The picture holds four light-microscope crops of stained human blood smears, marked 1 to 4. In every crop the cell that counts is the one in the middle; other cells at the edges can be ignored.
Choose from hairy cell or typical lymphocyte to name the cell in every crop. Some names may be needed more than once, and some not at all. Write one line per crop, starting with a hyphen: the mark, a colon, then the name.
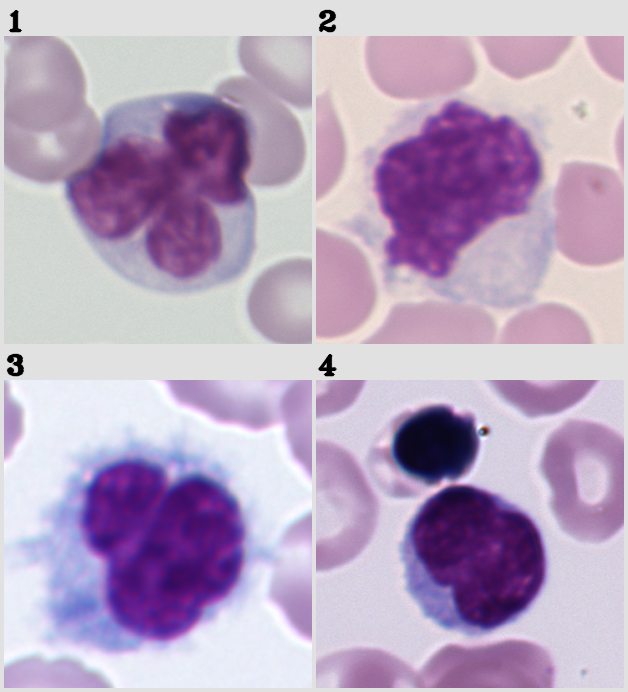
- 1: typical lymphocyte
- 2: hairy cell
- 3: hairy cell
- 4: typical lymphocyte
